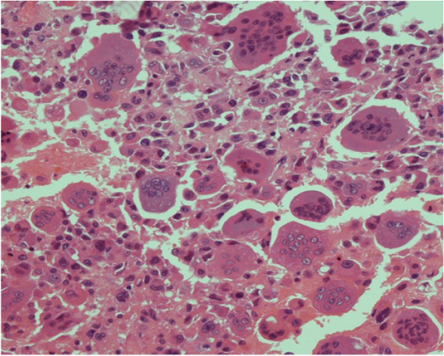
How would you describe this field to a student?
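This is a cellular tumor made of large multinucleated giant cells scattered among smaller mononuclear tumor cells. The giant cells are rounded to oval, with abundant dense pink cytoplasm and many small oval nuclei clustered toward the centre, often a dozen or more per cell. Some giant cells are separated from their surroundings by a narrow clear space. Between them lie densely packed smaller cells with single nuclei that vary in size and darkness, some plump and irregular. Pink fibrin-like or haemorrhagic material appears in places. No glands or organised tissue architecture are seen.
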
